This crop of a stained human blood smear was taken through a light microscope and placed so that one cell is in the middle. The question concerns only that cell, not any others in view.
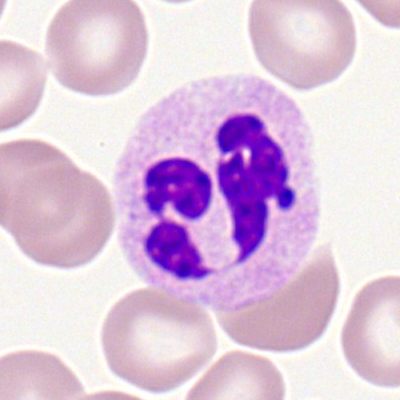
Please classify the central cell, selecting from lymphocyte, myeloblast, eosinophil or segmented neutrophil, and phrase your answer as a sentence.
The central element of this crop is a cell, namely a segmented neutrophil.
